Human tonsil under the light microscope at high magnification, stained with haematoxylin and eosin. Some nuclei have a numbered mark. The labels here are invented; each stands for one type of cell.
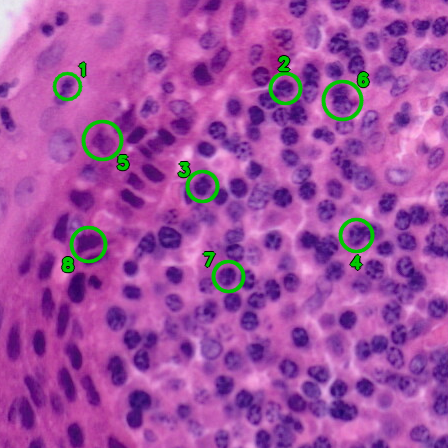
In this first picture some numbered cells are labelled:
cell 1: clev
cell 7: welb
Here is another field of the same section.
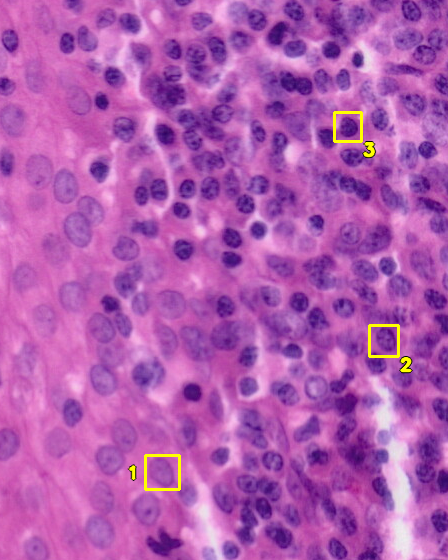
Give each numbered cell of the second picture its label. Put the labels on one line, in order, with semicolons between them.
clev; welb; welb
